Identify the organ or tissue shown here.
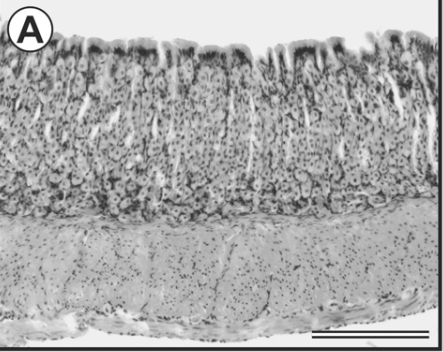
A: Stomach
